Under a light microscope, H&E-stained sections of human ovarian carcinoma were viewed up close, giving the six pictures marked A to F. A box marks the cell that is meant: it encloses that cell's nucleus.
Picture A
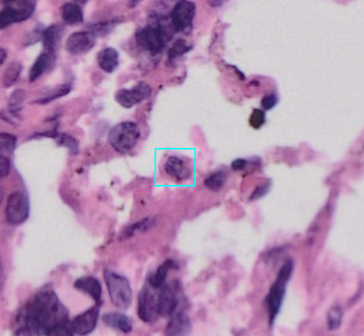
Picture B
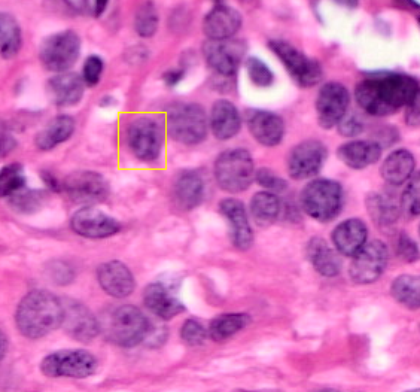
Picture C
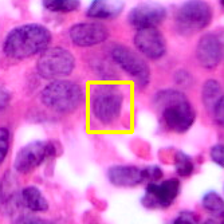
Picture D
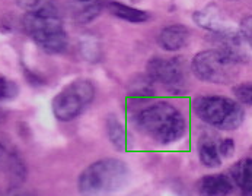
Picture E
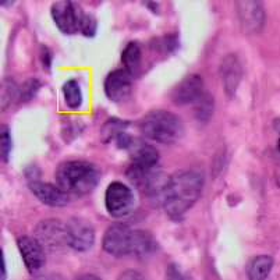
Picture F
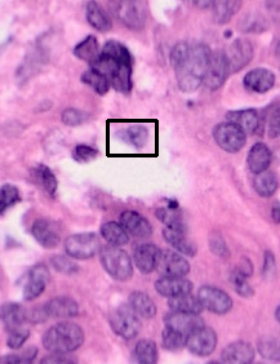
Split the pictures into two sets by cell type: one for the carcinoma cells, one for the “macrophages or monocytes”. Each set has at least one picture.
A: macrophage or monocyte
B: carcinoma cell
C: carcinoma cell
D: carcinoma cell
E: carcinoma cell
F: macrophage or monocyte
